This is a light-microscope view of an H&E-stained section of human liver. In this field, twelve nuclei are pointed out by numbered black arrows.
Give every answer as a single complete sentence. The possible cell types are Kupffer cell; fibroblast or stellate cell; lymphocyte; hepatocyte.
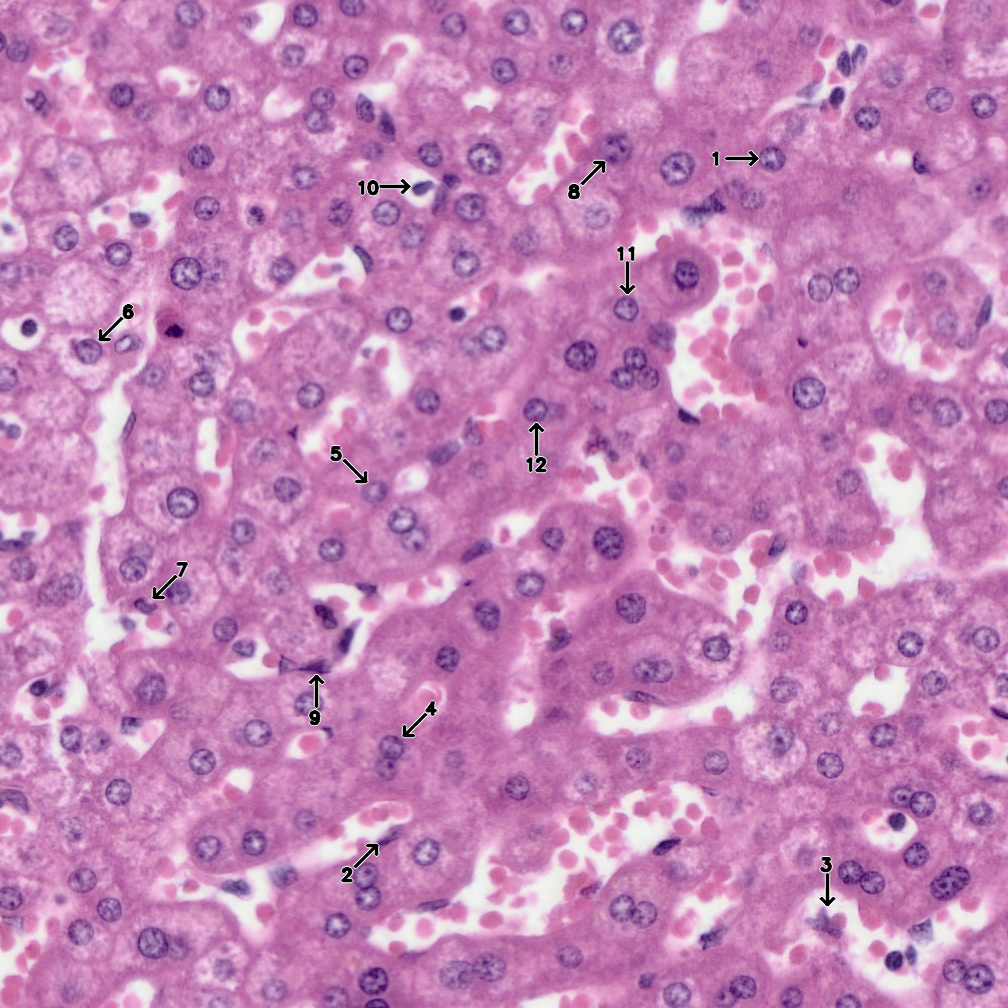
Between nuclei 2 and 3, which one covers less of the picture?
Nucleus 2 is the smaller one; nucleus 3 covers about 1.5 times its area.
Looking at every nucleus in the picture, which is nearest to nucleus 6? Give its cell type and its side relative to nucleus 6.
The nearest nucleus is that of a Kupffer cell and lies to the right of nucleus 6.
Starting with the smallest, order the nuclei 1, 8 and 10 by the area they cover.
From smallest to largest, the order is 10, 1, 8.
